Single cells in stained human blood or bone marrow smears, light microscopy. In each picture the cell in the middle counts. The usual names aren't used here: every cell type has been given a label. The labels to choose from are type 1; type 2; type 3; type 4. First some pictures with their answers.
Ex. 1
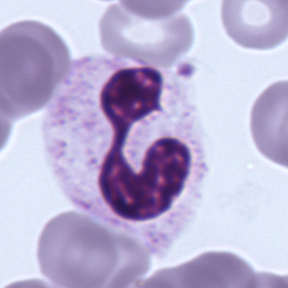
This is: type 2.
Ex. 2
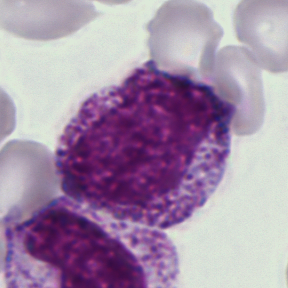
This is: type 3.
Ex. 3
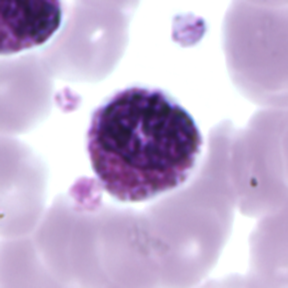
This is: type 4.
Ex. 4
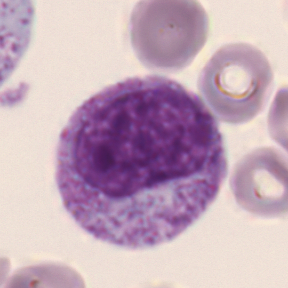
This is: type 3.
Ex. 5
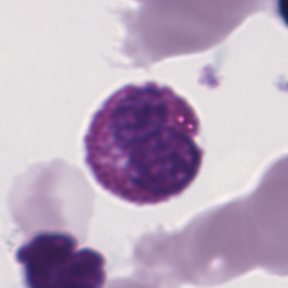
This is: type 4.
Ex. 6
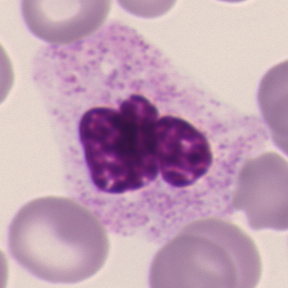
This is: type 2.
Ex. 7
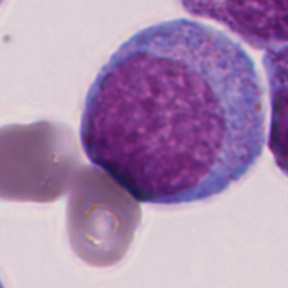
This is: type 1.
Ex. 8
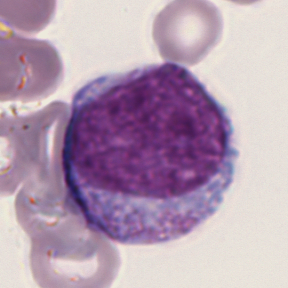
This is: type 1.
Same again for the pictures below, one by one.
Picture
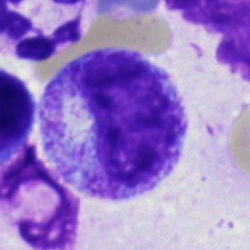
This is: type 3.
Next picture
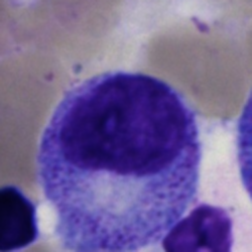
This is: type 3.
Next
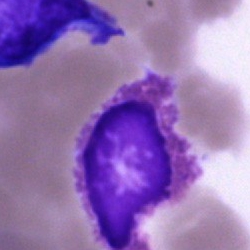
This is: type 4.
